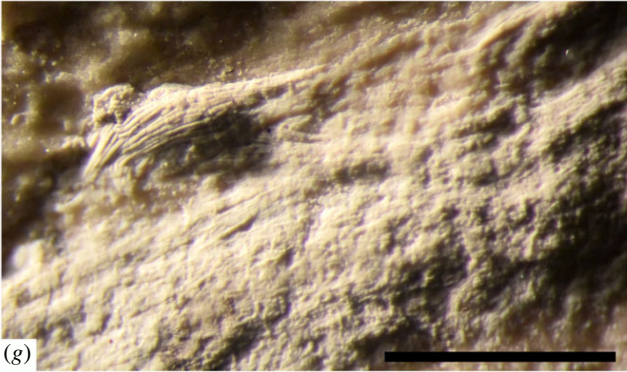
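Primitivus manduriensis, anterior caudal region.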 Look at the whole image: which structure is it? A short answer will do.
muscle fibres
